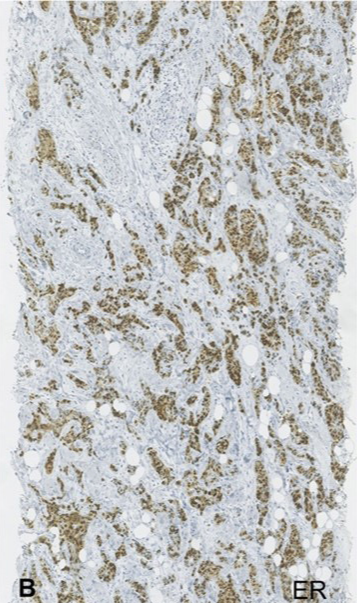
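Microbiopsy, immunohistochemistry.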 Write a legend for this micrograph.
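This is the same breast carcinoma core, and here the nests and cords of tumour cells stand out by their brown-stained nuclei. The positive cells are clustered in irregular infiltrating groups. They lie in a pale blue-grey counterstained fibrous stroma with scattered round, clear fat vacuoles. The stromal cells around them remain unstained.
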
